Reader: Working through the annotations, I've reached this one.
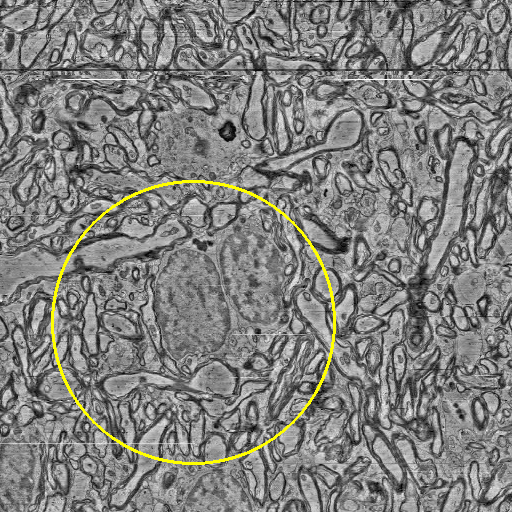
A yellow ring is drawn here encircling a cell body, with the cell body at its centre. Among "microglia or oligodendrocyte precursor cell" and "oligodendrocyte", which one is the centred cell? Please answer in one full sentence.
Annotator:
The cell body at the centre of the yellow ring in this image belongs to an oligodendrocyte.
